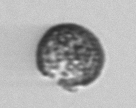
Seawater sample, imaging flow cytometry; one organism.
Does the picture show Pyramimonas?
No, it shows Umbilicosphaera sibogae.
